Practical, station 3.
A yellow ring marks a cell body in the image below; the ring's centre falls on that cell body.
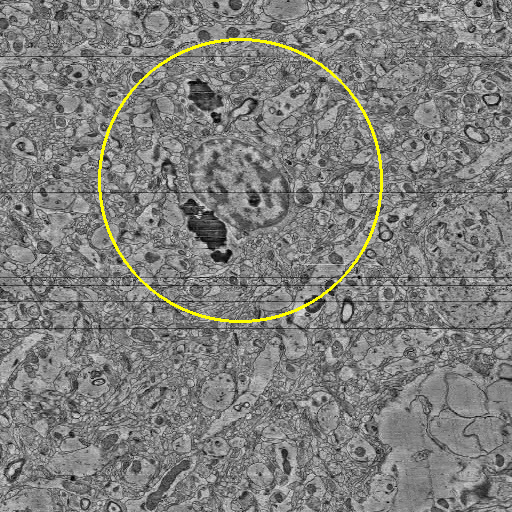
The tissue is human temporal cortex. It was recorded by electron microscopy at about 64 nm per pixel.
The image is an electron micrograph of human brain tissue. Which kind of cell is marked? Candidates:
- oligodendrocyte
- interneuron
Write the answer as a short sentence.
The marked cell body is that of an oligodendrocyte.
